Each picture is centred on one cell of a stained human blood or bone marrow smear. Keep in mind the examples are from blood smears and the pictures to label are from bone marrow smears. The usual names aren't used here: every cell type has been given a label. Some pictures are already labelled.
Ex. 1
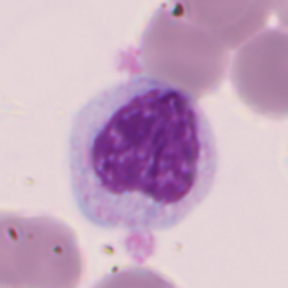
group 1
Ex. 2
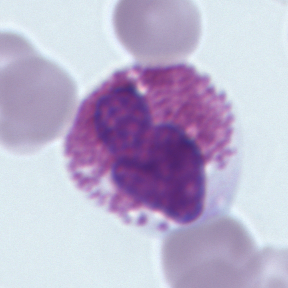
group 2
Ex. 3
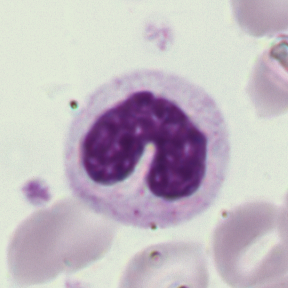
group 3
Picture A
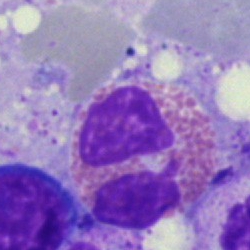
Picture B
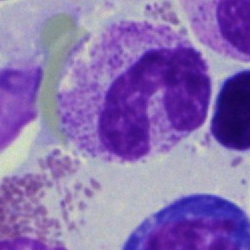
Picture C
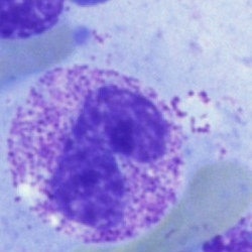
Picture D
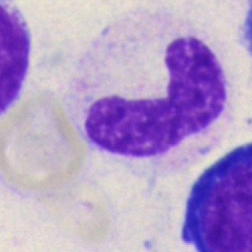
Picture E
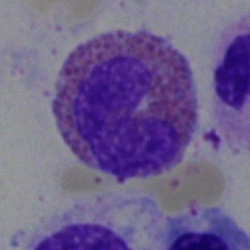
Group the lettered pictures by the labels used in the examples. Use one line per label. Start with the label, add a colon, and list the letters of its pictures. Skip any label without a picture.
group 2: A, E
group 3: B, C, D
